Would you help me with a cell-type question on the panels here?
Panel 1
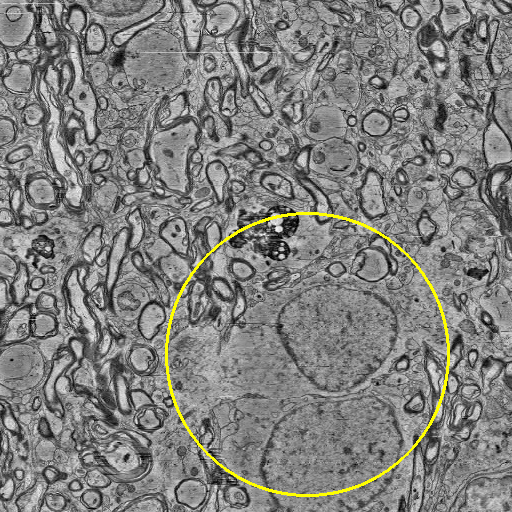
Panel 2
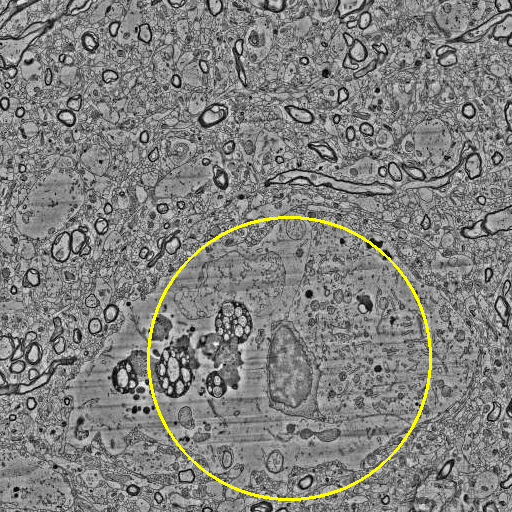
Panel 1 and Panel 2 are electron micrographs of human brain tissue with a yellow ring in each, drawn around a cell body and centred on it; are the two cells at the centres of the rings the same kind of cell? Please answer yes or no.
no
